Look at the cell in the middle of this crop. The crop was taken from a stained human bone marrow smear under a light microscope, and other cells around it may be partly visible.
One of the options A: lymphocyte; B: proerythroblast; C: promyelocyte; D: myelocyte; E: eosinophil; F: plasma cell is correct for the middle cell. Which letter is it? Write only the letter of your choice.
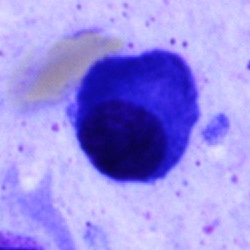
F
